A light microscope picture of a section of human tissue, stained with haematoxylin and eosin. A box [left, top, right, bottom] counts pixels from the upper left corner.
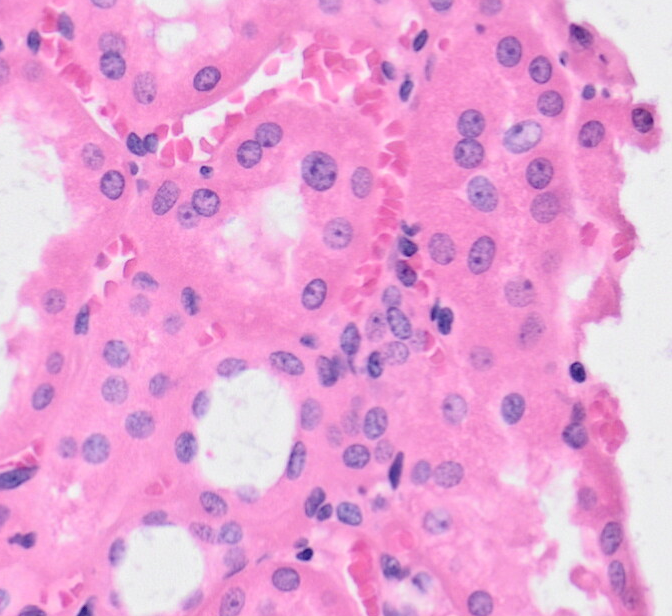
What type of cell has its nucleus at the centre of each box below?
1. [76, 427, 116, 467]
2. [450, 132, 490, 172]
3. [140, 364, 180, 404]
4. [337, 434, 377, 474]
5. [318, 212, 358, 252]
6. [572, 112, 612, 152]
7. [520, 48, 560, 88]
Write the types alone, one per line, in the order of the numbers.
loop of Henle or distal tubule cell
proximal tubule cell
loop of Henle or distal tubule cell
collecting duct cell
proximal tubule cell
proximal tubule cell
proximal tubule cell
